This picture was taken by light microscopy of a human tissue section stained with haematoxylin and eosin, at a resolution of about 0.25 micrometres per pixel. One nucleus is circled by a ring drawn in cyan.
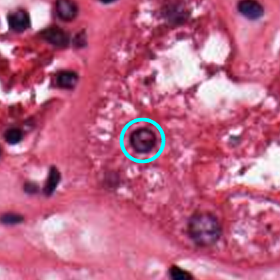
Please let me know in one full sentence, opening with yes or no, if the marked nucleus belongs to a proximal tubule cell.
Yes, the marked nucleus is one belonging to a proximal tubule cell.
